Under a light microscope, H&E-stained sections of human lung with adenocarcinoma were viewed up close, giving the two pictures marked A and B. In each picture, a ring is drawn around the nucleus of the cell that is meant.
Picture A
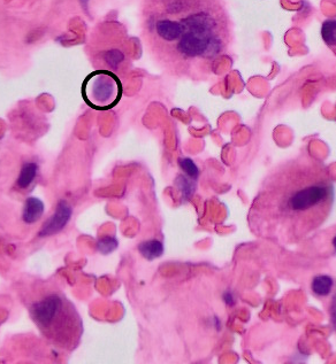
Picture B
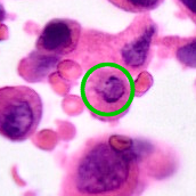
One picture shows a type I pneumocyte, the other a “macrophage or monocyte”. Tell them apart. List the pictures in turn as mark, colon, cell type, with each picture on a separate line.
A: type I pneumocyte
B: macrophage or monocyte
